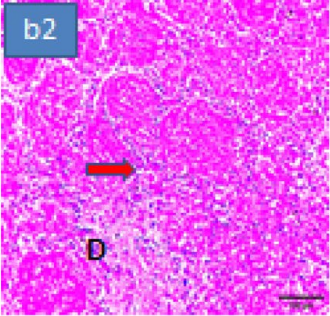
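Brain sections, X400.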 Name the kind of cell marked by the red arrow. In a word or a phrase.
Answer: Neuroglial cells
